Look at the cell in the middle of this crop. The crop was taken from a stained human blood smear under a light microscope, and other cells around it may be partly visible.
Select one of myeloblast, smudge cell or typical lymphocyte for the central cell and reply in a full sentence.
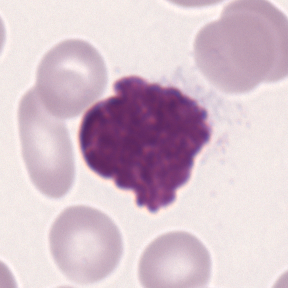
Seen at the centre of the crop is a smudge cell.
